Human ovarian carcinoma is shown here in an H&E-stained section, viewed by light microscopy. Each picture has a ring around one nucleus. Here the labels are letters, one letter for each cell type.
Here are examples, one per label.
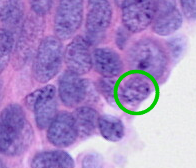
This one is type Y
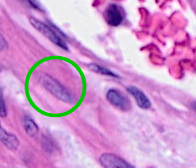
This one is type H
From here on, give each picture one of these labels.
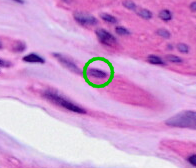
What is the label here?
type H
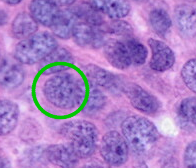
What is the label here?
type Y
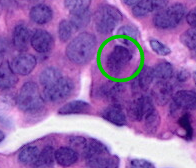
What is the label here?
type Y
